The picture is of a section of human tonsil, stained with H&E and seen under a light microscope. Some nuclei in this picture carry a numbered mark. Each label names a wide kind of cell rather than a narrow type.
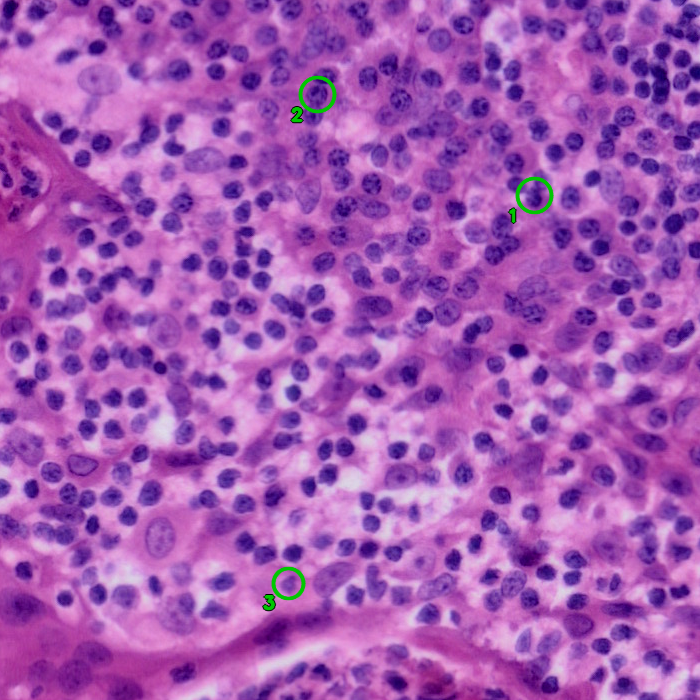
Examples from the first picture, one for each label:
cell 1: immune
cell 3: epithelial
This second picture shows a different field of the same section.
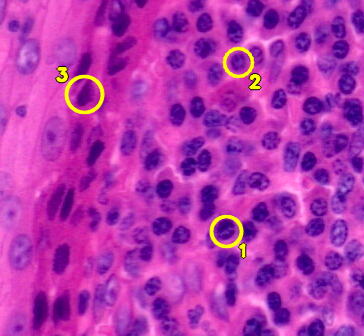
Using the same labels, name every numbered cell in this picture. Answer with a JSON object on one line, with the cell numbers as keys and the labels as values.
{"1": "immune", "2": "immune", "3": "epithelial"}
